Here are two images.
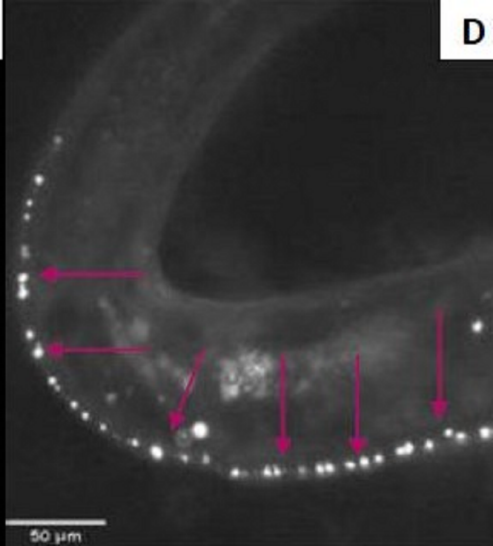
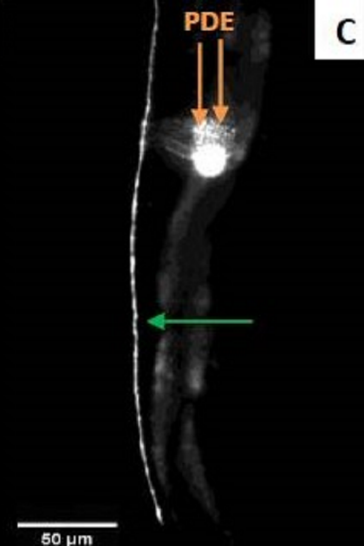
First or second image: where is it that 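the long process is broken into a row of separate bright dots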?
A: The first image.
